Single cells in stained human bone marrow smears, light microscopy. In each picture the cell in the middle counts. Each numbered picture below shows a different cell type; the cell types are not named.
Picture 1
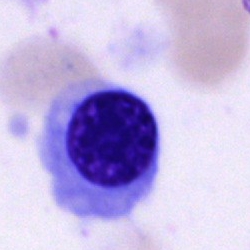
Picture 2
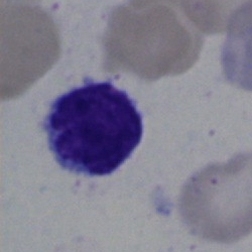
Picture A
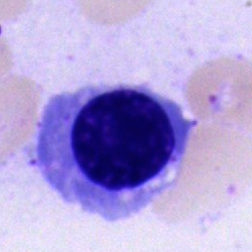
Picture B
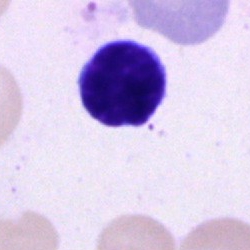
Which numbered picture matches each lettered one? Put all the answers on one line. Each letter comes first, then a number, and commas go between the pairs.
A 1, B 2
